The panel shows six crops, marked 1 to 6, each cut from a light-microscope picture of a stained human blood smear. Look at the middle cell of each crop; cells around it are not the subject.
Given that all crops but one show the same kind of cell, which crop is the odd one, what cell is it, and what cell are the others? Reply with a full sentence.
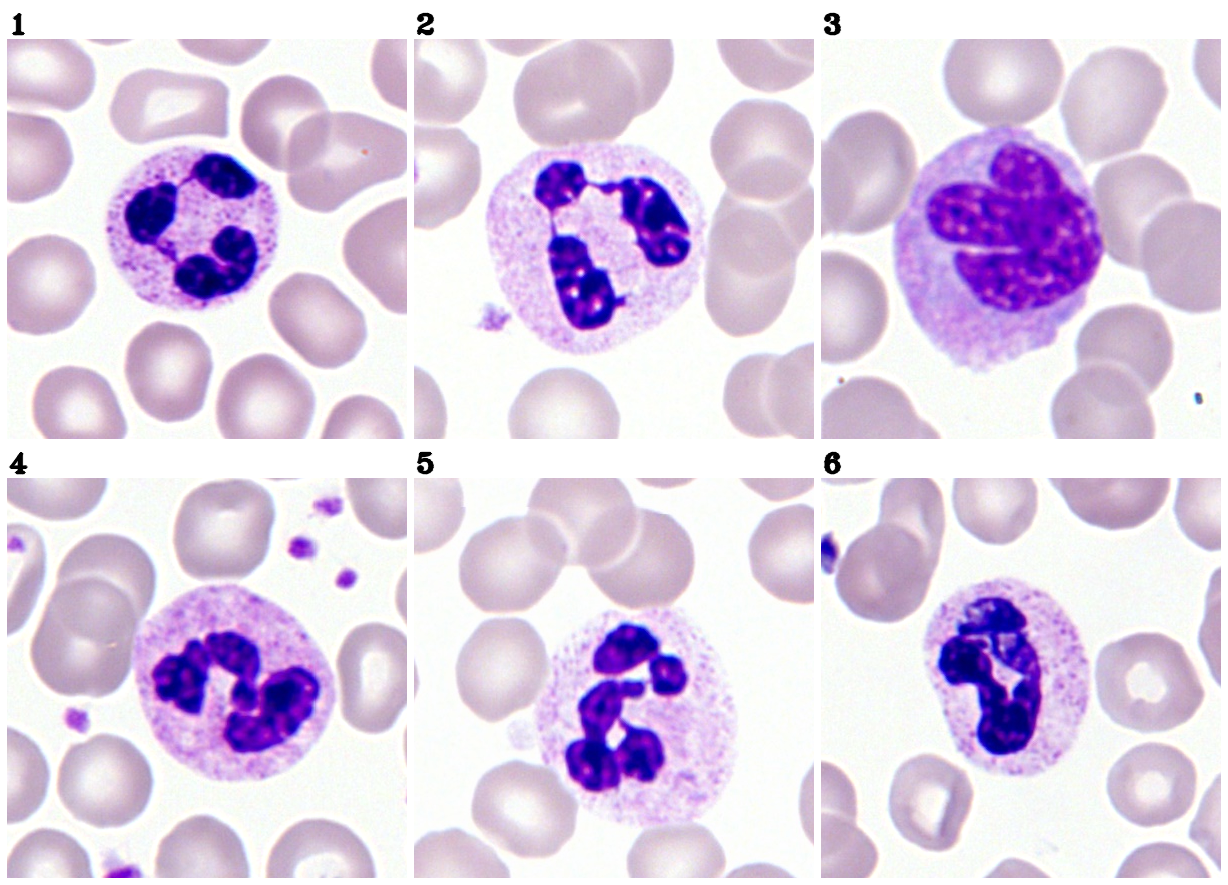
In every crop except crop 3, which shows a monocyte, segmented neutrophils are shown.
